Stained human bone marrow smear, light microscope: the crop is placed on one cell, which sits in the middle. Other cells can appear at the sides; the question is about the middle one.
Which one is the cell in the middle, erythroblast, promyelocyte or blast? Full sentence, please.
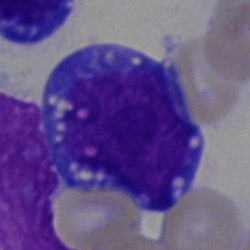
This particular crop is centered on a blast.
